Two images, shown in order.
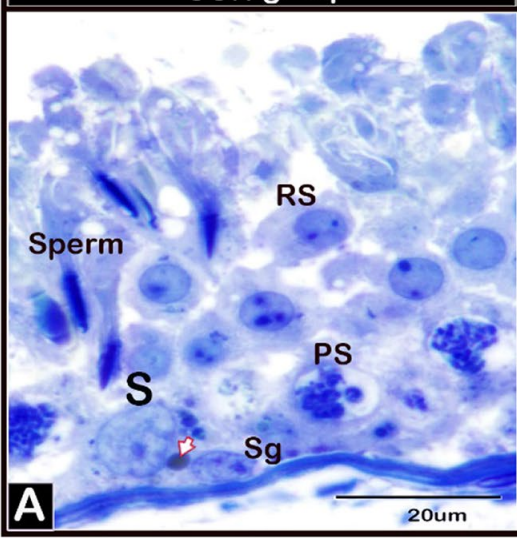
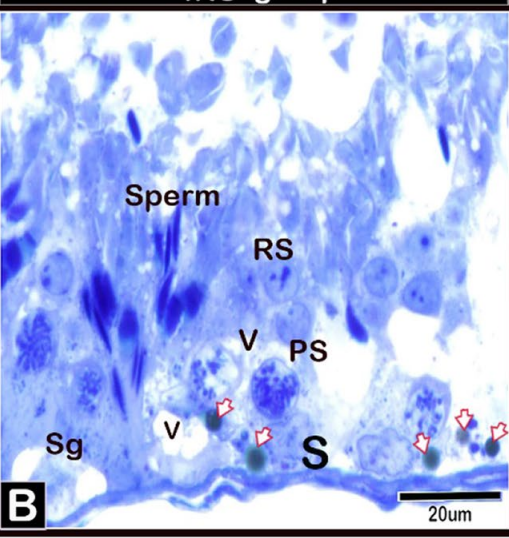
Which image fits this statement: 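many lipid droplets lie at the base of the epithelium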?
the second image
